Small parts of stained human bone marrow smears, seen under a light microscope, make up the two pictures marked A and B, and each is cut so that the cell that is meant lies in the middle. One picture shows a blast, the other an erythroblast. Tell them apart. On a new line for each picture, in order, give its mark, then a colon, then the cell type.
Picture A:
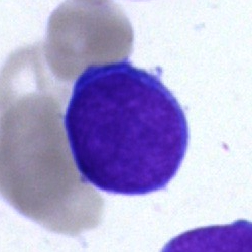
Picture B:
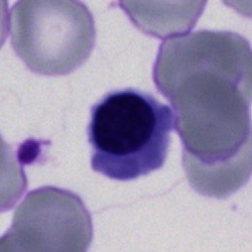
A: blast
B: erythroblast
